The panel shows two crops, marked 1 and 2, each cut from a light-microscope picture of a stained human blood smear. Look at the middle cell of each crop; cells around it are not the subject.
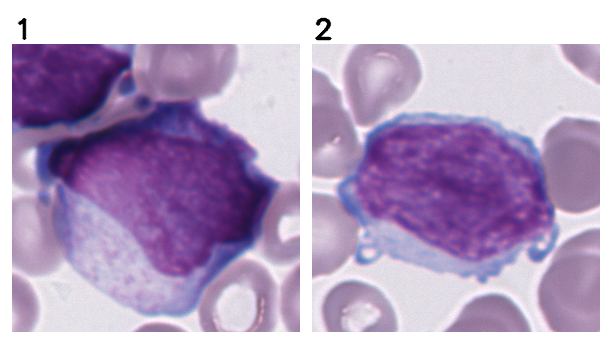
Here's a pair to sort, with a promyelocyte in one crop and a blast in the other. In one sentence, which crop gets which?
Here crop 1 is a promyelocyte, and crop 2 is a blast.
